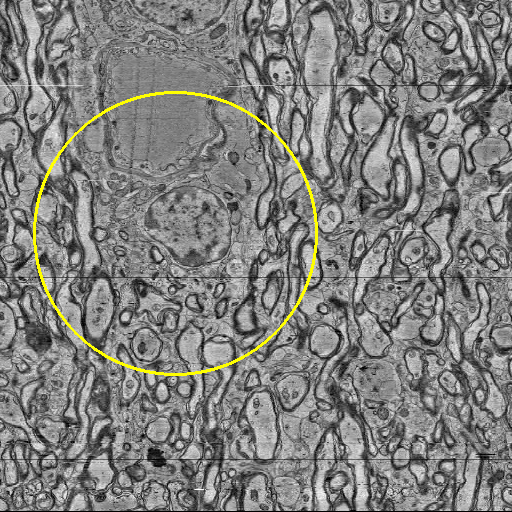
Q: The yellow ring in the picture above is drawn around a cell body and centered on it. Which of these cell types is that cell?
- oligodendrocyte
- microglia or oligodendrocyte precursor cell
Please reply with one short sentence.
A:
The cell body at the ring's center belongs to a microglial cell or oligodendrocyte precursor cell.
